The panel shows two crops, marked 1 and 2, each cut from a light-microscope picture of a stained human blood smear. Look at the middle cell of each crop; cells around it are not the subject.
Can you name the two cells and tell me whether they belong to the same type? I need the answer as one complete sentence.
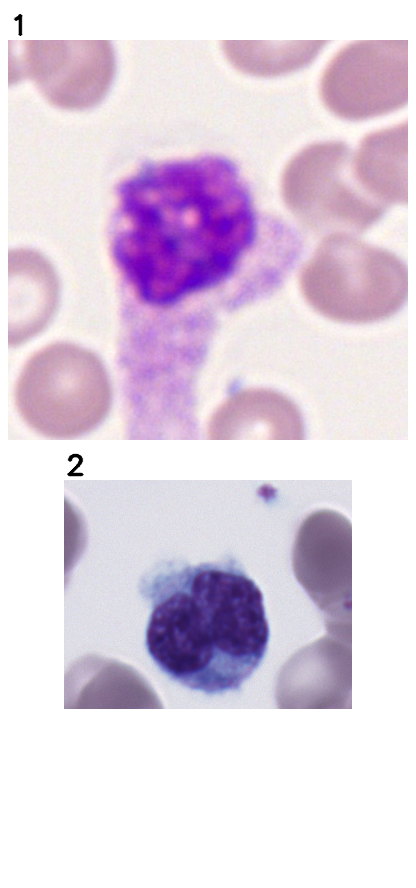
Yes, the pair of crops both show monocytes.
